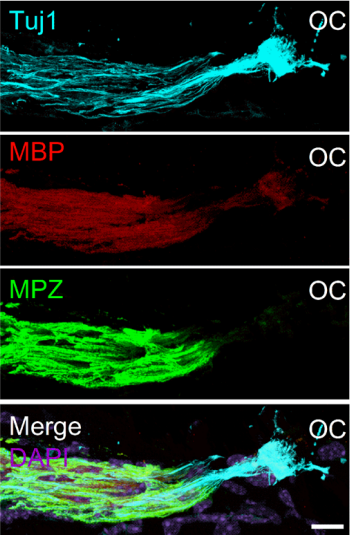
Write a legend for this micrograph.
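This is a longitudinal section of a peripheral nerve bundle in which many thin, parallel nerve fibres run horizontally across the field. In the cyan channel the fibres converge toward the right end, where they gather into a dense, brightly labelled tuft. The red and green channels label the same bundle as long continuous sheaths along the fibres, and in the merged image they overlap as yellow-green along most of the bundle. This sheath labelling fades toward the right end where the fibres gather, leaving that terminal part labelled mainly in cyan. Purple nuclei are scattered among and below the fibres.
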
